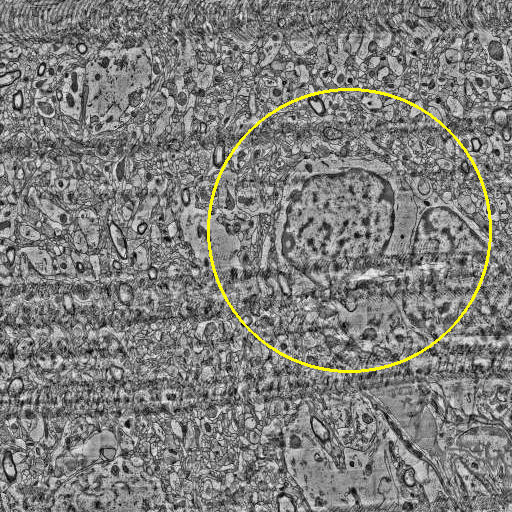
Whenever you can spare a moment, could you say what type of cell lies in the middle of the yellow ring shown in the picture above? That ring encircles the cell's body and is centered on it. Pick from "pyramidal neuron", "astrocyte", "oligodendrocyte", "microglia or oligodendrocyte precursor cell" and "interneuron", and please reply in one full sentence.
The cell whose body sits at the middle of the yellow ring is a microglial cell or oligodendrocyte precursor cell.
